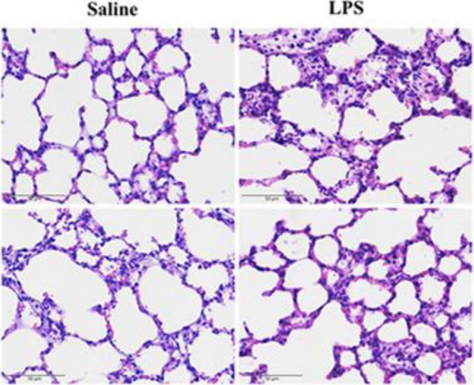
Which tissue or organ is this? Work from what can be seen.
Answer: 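Lung. Thin septa enclose many rounded empty air spaces, the pattern of alveoli. Nuclei lie scattered along the thin walls between the spaces.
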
